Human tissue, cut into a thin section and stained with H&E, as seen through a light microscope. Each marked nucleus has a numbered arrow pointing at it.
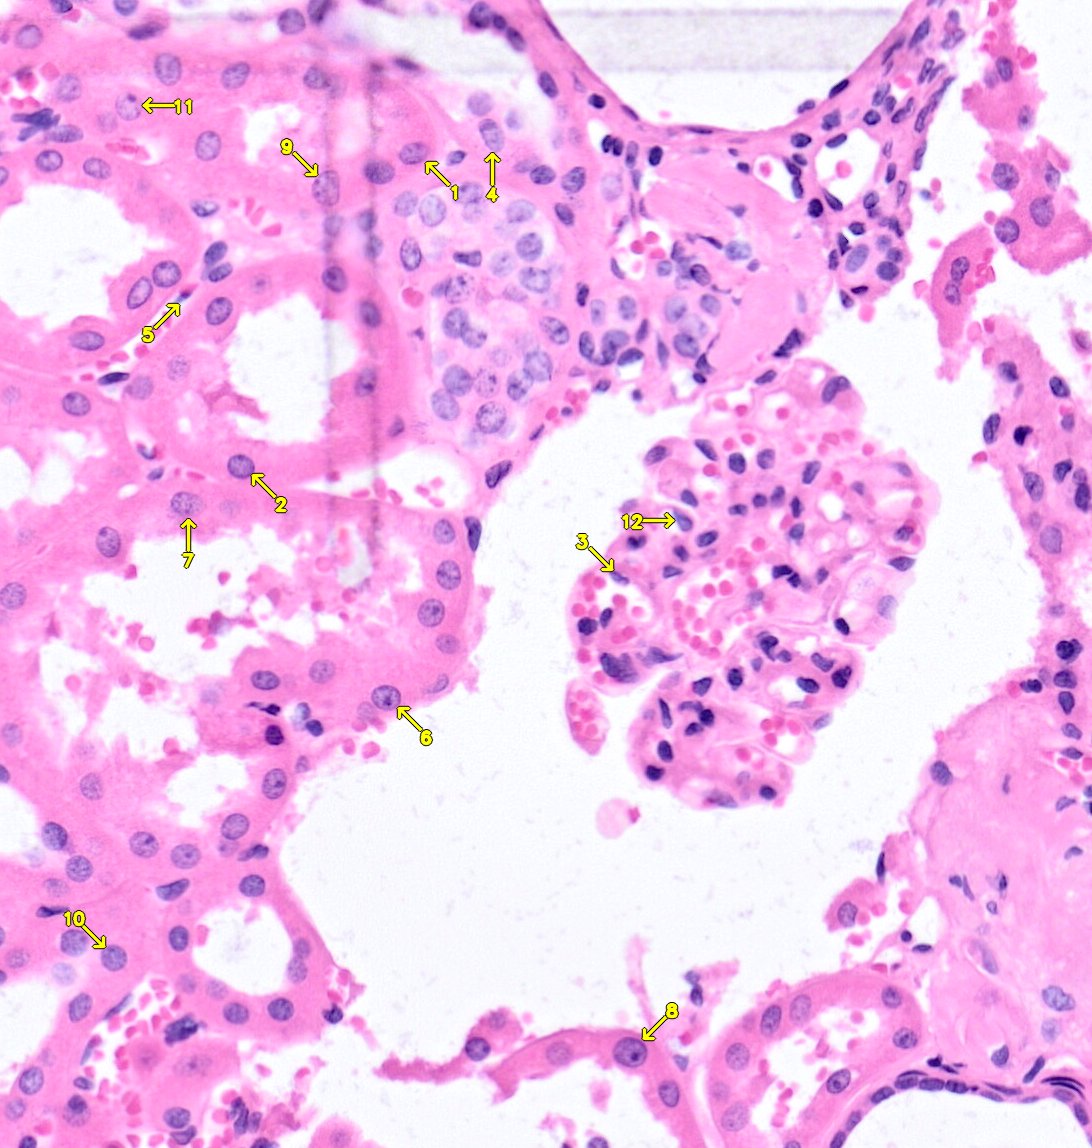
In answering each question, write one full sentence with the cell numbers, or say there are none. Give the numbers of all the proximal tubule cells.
The cells numbered 1, 2, 6, 7, 8, 9 and 11 are, by type, proximal tubule cells.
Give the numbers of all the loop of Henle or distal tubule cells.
Of the cells bearing numbers, the only one that is a loop of Henle or distal tubule cell is cell 10.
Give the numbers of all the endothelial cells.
Cells 3, 5 and 12 are of one type, namely endothelial cells.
